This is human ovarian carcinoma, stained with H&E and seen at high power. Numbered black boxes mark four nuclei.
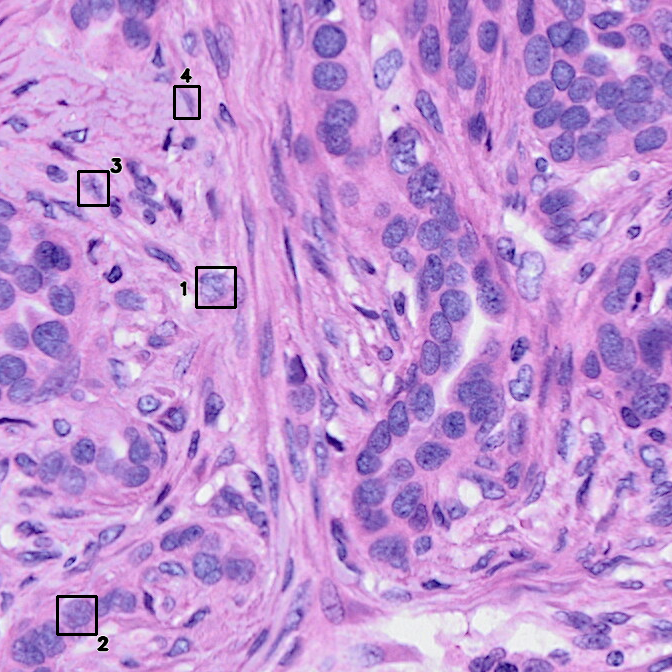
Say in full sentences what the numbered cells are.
Cells 1, 3 and 4 are fibroblasts. Cell 2 is a carcinoma cell.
